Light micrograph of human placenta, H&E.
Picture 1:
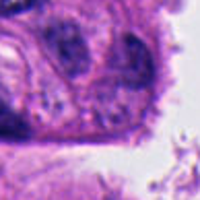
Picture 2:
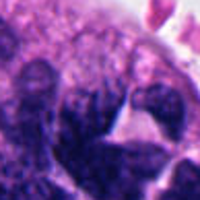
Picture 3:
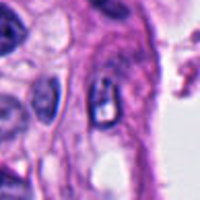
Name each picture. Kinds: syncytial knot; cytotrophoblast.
1. cytotrophoblast
2. syncytial knot
3. cytotrophoblast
